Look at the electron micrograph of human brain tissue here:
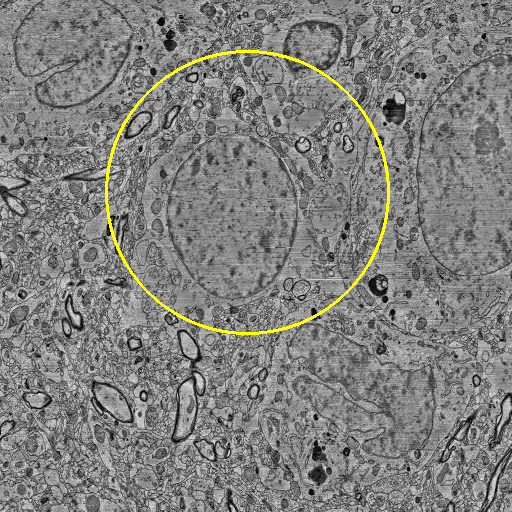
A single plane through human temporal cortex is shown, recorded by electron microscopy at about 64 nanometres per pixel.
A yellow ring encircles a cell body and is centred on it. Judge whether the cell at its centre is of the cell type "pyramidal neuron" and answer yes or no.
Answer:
no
